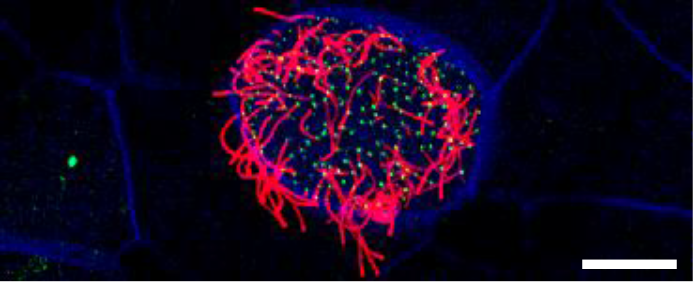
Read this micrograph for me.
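A single large multiciliated cell is seen from above, outlined in blue among neighbouring polygonal cells. Its rounded apical surface is covered by many small green dots, the centrosomes or basal bodies. Red ciliary axonemes arise across the surface and lie in a loose, tangled ring around the cell rim rather than forming a compact tuft. The axonemes vary in length and direction and many are bent. The surrounding cells carry no red filaments.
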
